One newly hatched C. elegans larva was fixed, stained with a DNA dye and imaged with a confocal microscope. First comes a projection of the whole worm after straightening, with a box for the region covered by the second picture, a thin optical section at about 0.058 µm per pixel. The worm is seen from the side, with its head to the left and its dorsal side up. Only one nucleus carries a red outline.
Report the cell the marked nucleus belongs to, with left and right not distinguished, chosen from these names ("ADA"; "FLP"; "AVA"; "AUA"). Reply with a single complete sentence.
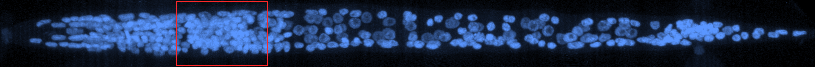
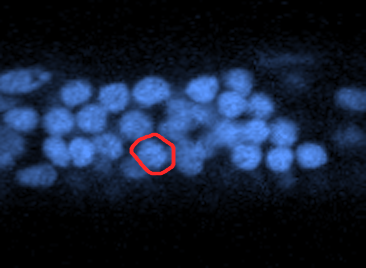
The marked nucleus is that of AUA, a neuron.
